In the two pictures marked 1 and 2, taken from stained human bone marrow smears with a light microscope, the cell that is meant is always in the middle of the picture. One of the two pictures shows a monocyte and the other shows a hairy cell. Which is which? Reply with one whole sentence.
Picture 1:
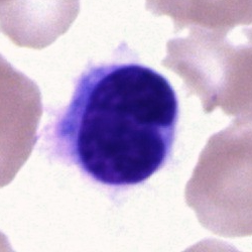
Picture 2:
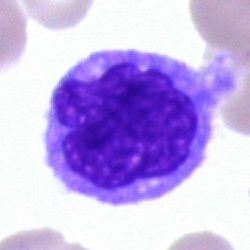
The cell in picture 1 is a hairy cell, and the one in picture 2 is a monocyte.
